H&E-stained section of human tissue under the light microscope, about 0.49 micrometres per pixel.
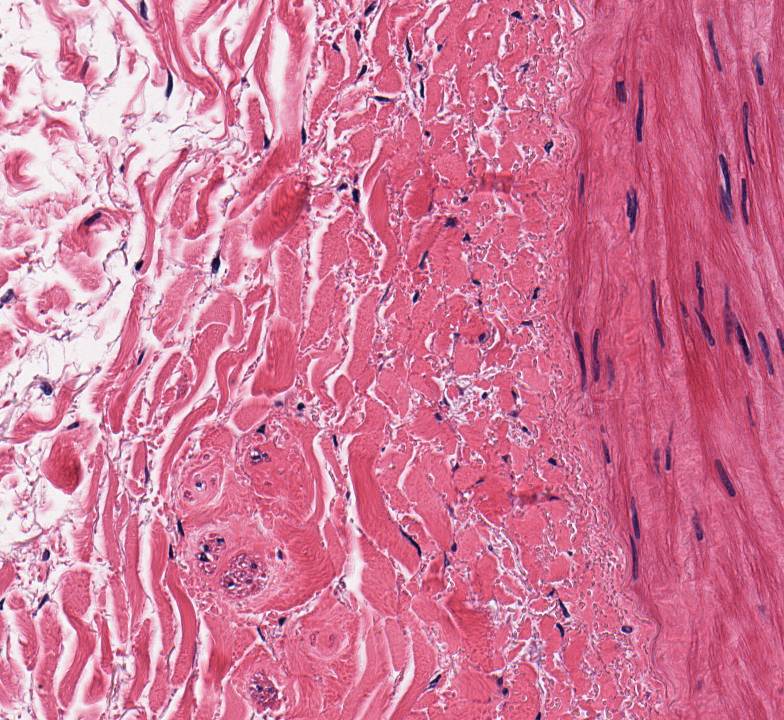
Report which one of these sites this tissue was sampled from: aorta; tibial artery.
tibial artery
